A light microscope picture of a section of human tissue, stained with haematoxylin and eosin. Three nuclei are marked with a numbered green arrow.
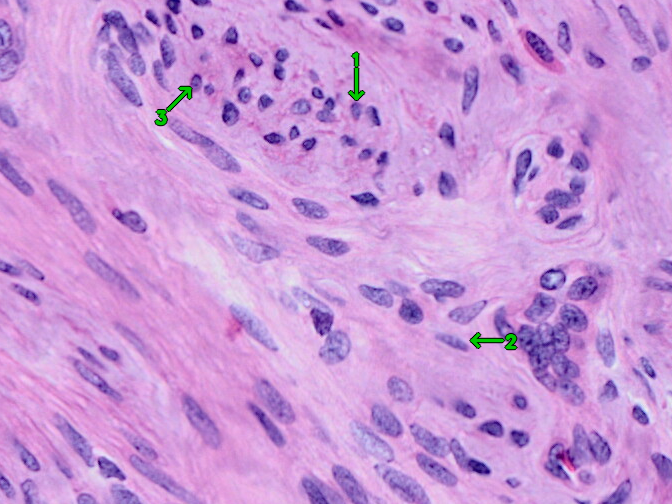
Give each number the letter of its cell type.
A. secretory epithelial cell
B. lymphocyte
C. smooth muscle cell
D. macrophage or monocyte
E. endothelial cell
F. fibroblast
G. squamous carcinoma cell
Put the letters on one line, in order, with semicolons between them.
C; F; C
